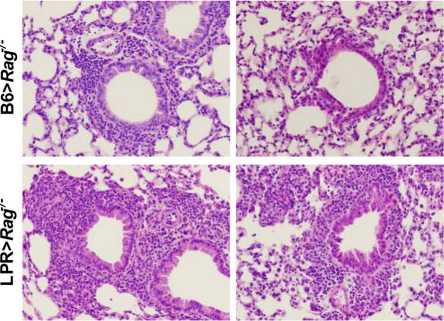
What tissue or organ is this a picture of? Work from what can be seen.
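Thin-walled air spaces form a lacy network around larger tubes. Round airways lined by a pink-purple columnar epithelium sit beside small blood vessels.
Lungs.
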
